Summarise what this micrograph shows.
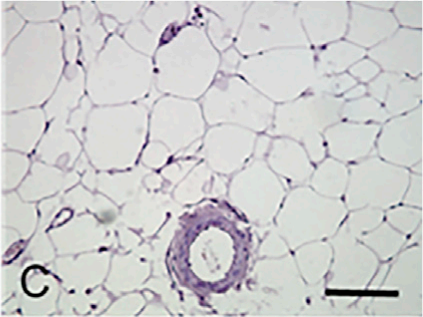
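White adipose tissue of white adipocytes surrounding a small artery. The adipocytes are large, polygonal and closely packed, each filled by one large clear lipid droplet that leaves only a thin purple rim of cytoplasm at the border, giving a chicken-wire pattern. Occasional flattened dark nuclei sit at the cell edges. Small vessel profiles appear between adipocytes.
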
